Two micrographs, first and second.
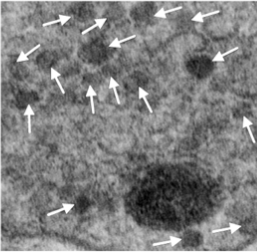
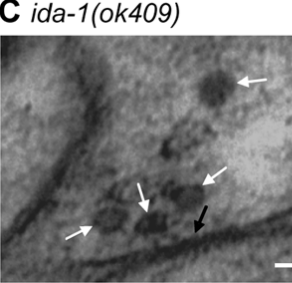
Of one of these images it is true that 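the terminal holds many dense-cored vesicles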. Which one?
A: the first image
